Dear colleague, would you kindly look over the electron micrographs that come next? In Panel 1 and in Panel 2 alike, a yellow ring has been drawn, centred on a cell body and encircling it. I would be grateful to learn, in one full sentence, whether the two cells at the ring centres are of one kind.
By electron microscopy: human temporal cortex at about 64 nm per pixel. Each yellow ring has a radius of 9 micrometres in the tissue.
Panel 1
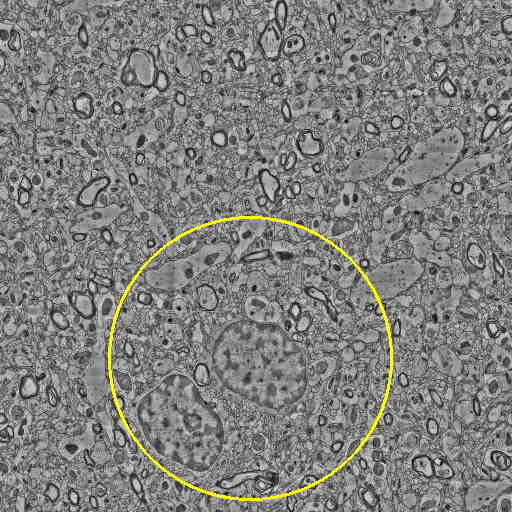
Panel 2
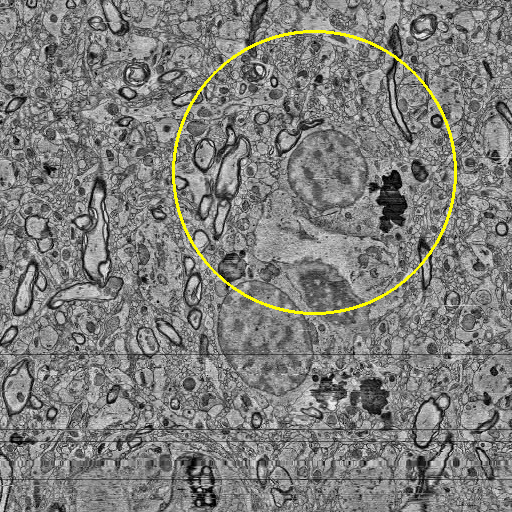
Yes, the cells in the middle of the rings in the two panels are of one kind.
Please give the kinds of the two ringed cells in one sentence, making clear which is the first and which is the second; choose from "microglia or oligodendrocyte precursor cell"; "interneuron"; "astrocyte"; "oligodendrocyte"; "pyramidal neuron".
Both rings mark an oligodendrocyte, one in each picture.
